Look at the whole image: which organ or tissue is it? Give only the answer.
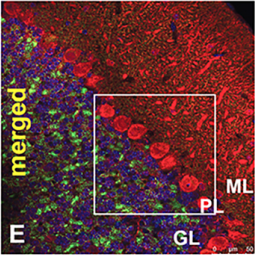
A: cerebellar cortex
